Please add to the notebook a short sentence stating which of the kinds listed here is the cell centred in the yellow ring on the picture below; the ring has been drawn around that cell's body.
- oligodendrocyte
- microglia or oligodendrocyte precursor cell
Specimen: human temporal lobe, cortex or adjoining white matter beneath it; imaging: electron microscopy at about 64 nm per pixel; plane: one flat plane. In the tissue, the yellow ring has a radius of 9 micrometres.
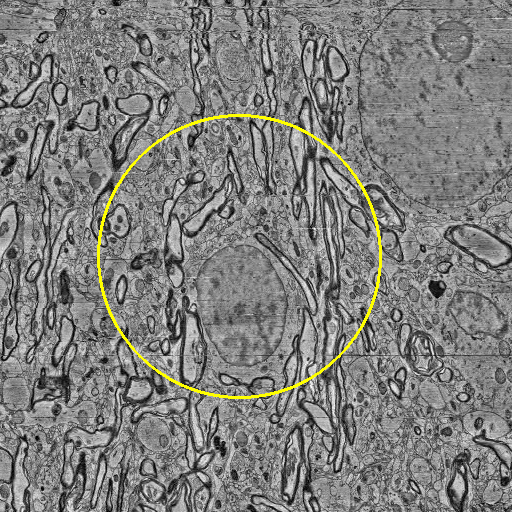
The cell centred in the yellow ring is an oligodendrocyte.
